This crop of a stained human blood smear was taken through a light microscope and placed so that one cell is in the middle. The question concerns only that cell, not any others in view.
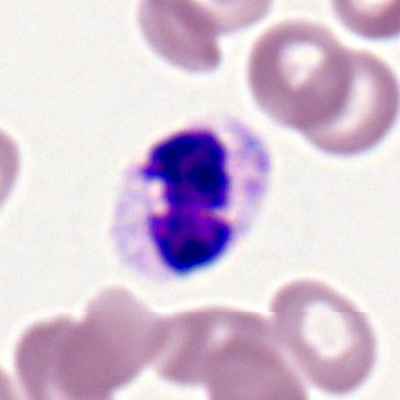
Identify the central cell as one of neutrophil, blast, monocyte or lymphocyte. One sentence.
In this crop, the cell at the very middle is a neutrophil.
